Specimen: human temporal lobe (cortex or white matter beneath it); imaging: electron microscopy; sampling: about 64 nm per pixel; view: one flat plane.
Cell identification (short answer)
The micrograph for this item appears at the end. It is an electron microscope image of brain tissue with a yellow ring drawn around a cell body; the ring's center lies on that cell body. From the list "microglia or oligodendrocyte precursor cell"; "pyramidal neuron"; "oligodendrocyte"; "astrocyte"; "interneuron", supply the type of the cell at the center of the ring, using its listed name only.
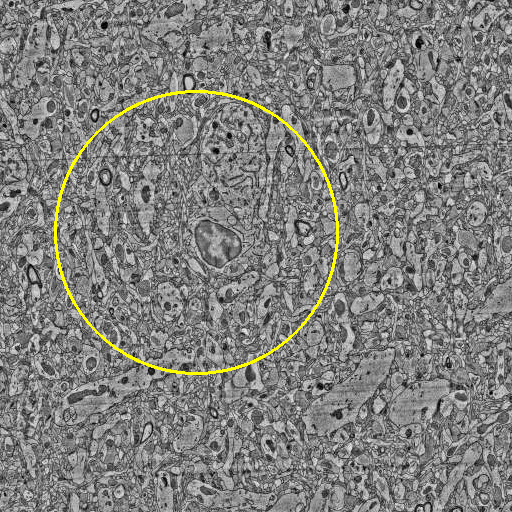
microglia or oligodendrocyte precursor cell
